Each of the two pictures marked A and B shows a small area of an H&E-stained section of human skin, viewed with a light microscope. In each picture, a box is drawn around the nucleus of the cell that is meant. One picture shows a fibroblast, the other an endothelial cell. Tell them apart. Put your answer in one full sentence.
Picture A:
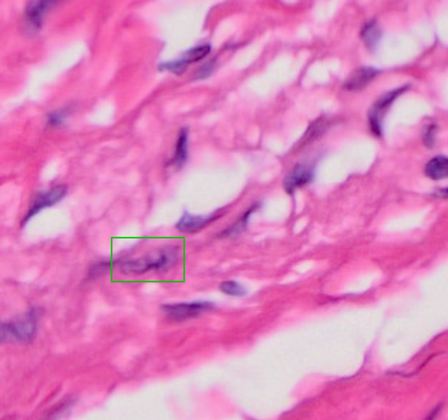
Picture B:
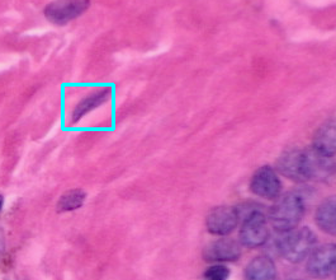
It is picture A that shows an endothelial cell, and picture B that shows a fibroblast.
